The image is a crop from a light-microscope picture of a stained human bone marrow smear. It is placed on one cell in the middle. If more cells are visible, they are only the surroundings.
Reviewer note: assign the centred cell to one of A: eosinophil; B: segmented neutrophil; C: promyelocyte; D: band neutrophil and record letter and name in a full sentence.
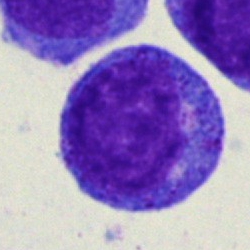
Since the cell in the middle is a promyelocyte, option C is correct.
